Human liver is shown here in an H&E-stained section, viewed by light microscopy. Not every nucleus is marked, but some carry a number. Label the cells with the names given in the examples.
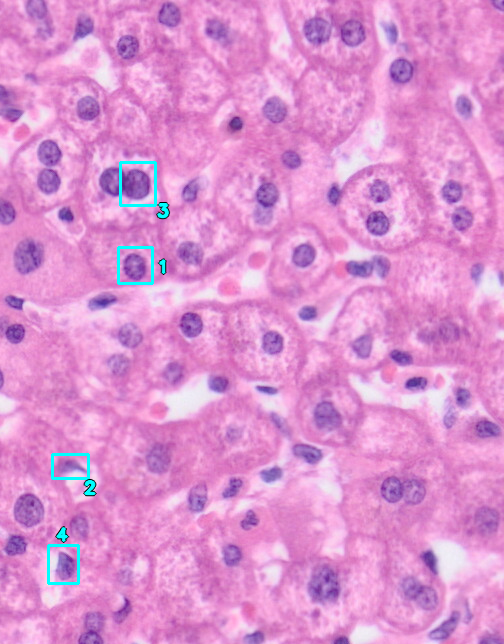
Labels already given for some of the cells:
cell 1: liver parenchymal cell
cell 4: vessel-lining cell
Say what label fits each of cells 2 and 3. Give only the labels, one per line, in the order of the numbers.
vessel-lining cell
liver parenchymal cell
